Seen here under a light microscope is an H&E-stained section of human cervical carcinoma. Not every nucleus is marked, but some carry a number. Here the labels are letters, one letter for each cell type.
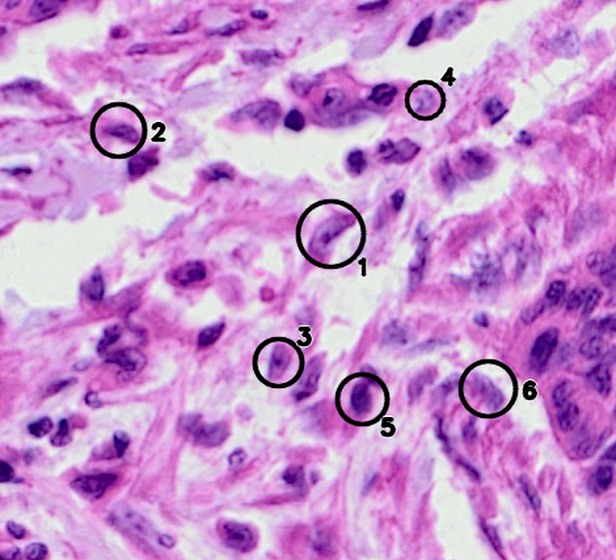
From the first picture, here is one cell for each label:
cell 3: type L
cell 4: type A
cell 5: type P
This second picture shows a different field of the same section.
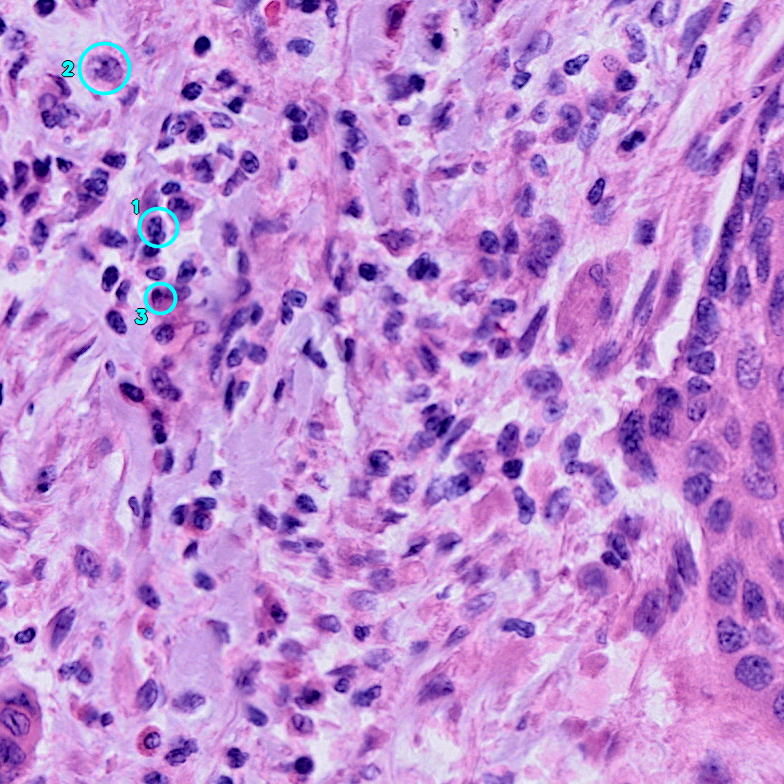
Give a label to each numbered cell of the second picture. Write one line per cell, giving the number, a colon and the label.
1: type P
2: type A
3: type A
